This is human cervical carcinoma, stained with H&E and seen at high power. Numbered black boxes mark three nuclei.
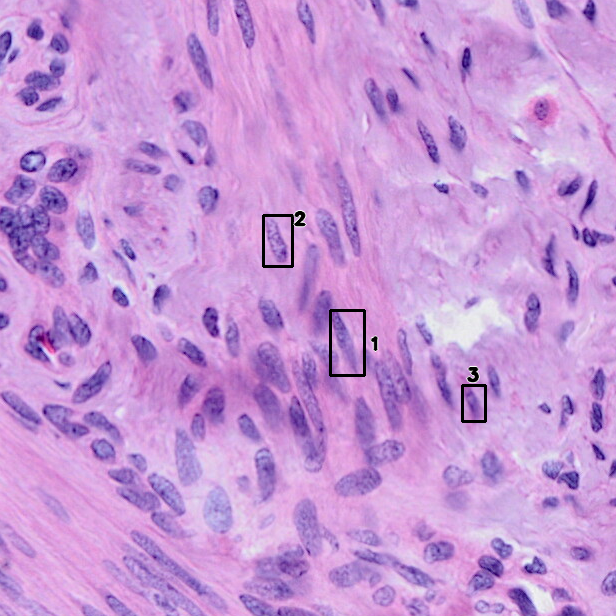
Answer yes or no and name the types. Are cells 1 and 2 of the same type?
Yes, the pair of cells 1 and 2 are both fibroblasts.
